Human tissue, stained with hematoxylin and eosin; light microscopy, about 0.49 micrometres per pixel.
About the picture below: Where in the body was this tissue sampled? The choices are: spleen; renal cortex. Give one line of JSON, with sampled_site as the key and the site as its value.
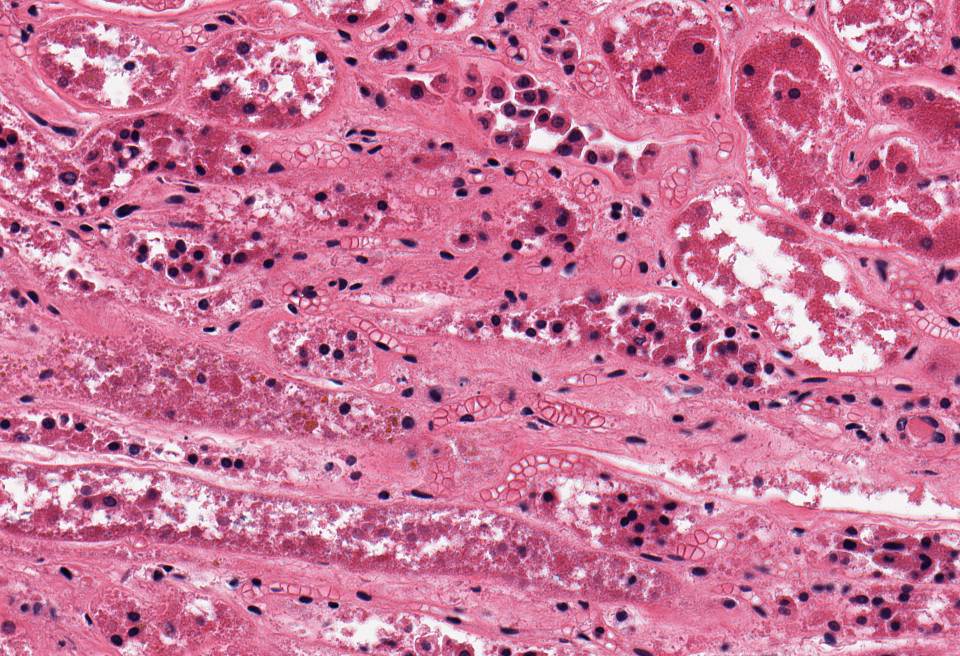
{"sampled_site": "renal cortex"}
